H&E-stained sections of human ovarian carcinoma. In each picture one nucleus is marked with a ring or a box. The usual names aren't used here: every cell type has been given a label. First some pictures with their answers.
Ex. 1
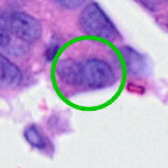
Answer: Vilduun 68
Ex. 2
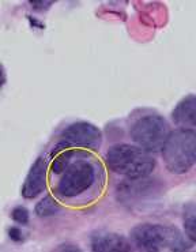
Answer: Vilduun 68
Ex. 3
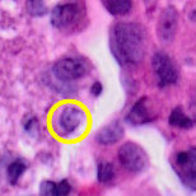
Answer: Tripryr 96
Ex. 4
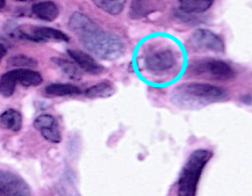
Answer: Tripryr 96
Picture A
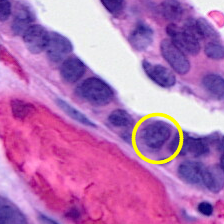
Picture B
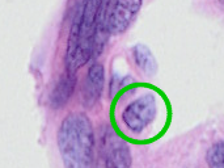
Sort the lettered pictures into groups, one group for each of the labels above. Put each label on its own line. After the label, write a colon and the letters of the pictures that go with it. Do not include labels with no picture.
Vilduun 68: A
Tripryr 96: B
